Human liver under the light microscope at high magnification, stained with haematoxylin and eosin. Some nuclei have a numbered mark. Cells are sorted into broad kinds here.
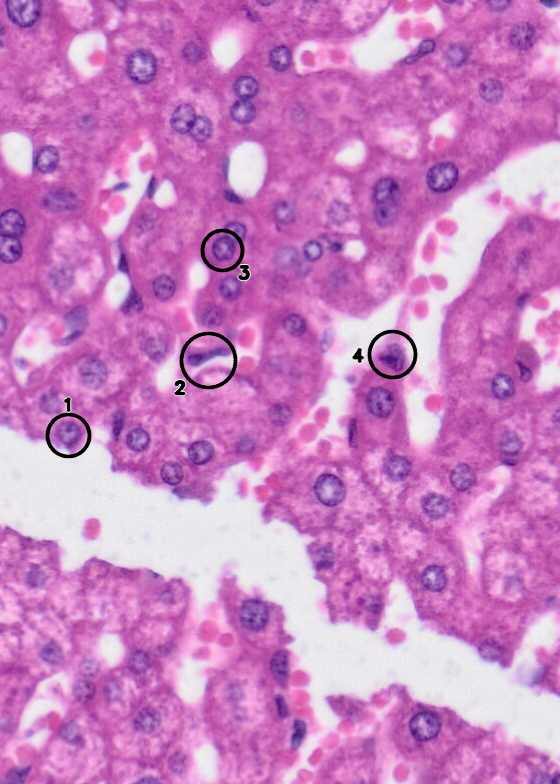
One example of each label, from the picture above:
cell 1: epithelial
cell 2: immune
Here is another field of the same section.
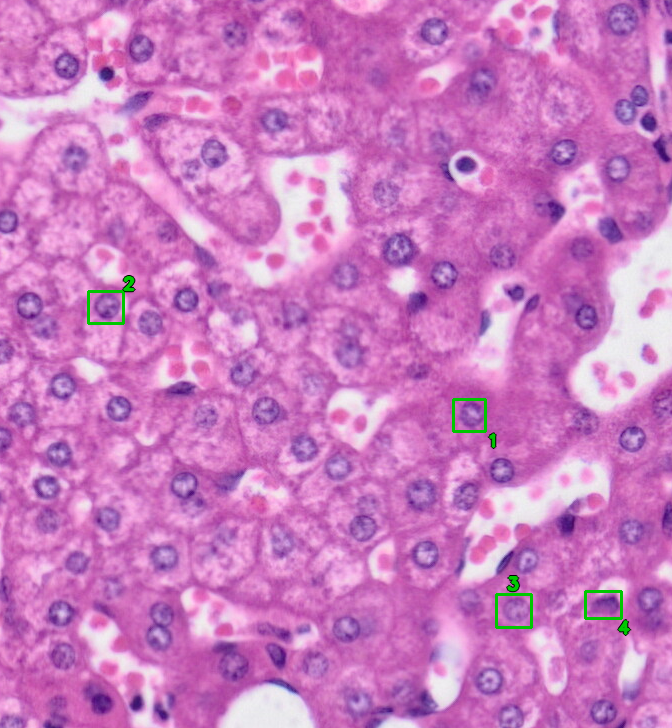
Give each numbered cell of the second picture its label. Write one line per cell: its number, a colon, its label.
1: epithelial
2: epithelial
3: epithelial
4: immune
